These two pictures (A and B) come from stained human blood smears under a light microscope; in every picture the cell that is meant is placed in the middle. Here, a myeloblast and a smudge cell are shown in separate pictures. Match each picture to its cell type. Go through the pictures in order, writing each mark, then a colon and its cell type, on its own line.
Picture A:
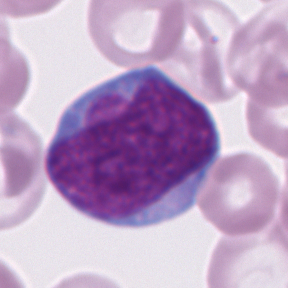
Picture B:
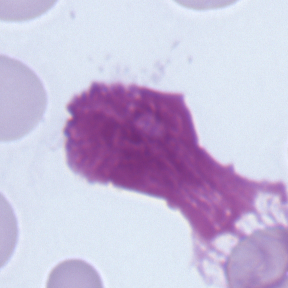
A: myeloblast
B: smudge cell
